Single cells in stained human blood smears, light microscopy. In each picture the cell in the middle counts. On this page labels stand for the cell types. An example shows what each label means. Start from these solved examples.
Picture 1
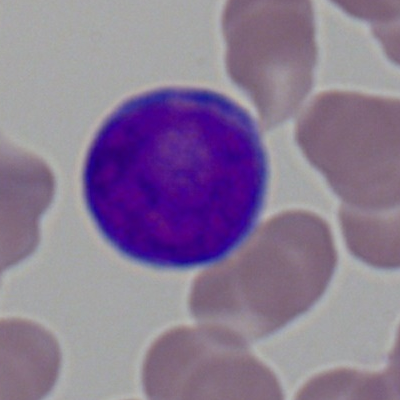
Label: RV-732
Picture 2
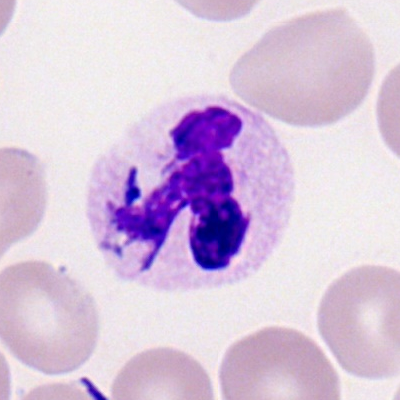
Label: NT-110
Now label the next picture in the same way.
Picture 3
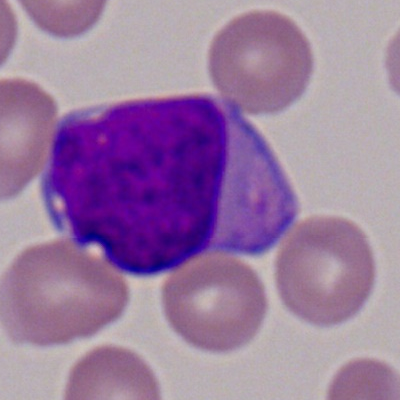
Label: RV-732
